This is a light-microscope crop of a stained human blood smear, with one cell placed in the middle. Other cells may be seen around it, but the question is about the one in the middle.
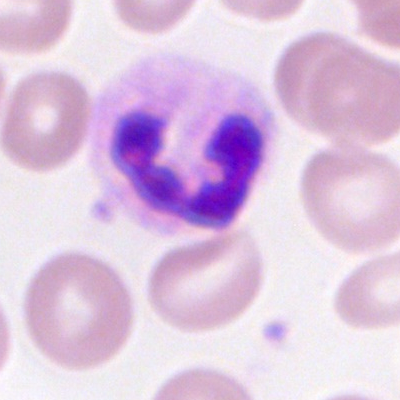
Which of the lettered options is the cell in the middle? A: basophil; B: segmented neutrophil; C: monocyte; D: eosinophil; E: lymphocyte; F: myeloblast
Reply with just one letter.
B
